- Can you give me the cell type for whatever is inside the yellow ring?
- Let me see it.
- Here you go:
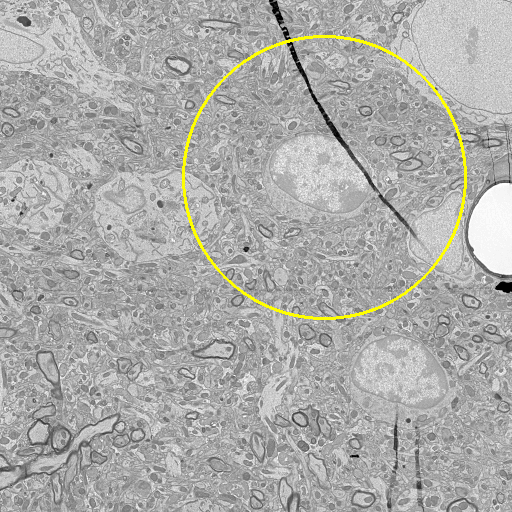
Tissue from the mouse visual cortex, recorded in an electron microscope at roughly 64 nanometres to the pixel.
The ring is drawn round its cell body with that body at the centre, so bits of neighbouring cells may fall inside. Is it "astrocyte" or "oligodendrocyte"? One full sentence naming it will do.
The cell body in the middle of the ring in this picture belongs to an oligodendrocyte.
